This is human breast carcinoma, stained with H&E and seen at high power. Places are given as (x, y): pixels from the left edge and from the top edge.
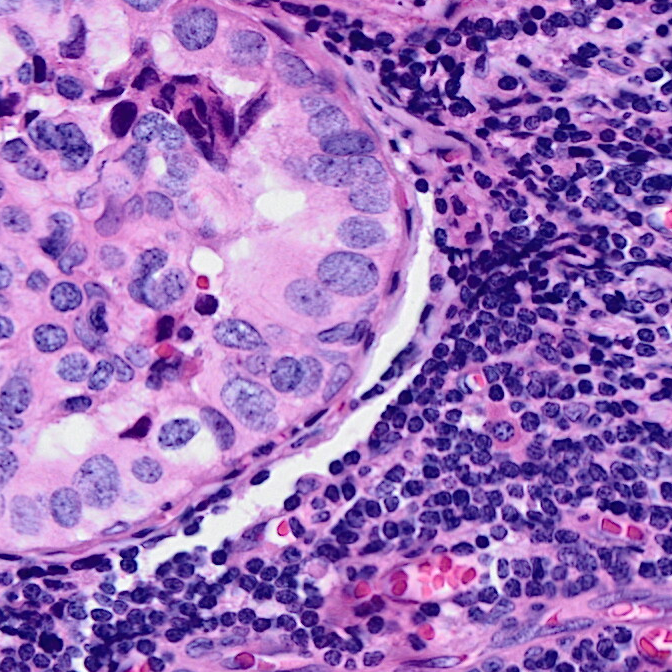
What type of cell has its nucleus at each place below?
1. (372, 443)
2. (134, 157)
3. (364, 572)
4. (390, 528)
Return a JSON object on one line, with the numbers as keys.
{"1": "lymphocyte", "2": "carcinoma cell", "3": "lymphocyte", "4": "lymphocyte"}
